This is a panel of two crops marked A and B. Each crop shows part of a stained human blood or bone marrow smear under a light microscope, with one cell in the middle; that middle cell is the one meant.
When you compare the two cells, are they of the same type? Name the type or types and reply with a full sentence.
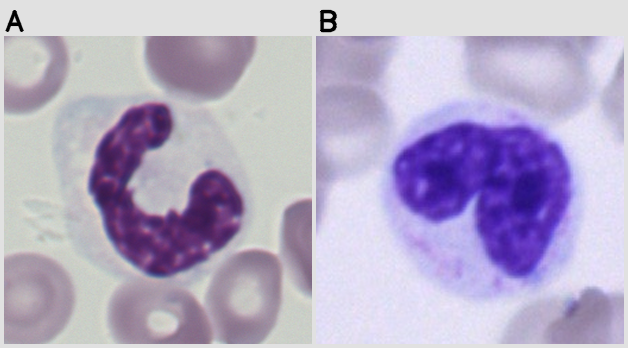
Yes, in the middle of both crops lie band neutrophils.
